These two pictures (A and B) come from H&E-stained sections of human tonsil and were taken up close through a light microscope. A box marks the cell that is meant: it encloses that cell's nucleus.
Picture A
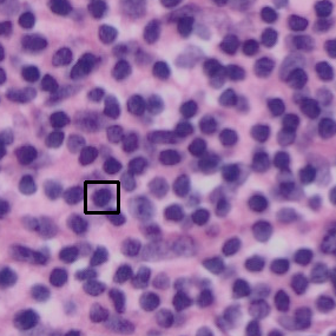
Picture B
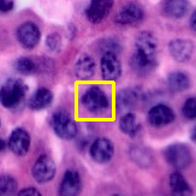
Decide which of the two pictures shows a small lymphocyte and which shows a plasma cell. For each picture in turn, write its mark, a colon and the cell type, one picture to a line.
A: small lymphocyte
B: plasma cell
